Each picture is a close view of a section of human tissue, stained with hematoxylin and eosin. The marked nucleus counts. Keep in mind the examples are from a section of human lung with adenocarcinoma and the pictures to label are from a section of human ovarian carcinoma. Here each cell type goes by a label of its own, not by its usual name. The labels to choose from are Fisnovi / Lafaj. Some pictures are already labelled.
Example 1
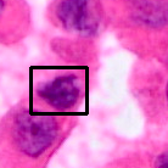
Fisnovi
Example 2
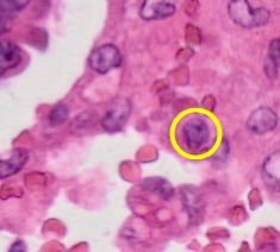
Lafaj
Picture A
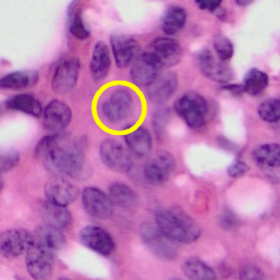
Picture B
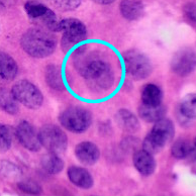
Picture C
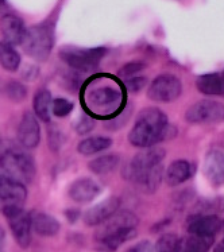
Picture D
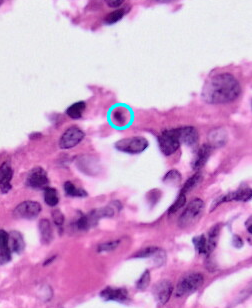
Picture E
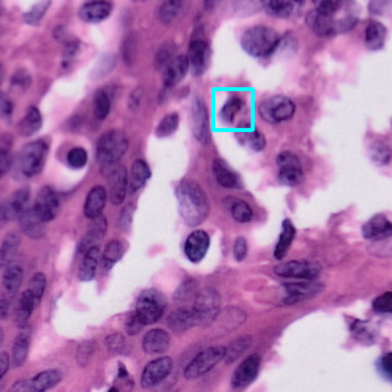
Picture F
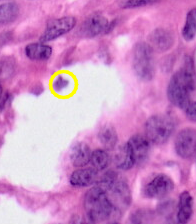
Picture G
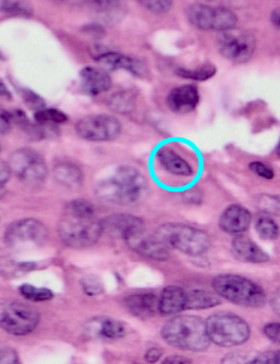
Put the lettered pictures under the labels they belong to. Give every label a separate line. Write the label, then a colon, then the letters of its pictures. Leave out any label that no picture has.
Fisnovi: A, B, C, F
Lafaj: D, E, G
